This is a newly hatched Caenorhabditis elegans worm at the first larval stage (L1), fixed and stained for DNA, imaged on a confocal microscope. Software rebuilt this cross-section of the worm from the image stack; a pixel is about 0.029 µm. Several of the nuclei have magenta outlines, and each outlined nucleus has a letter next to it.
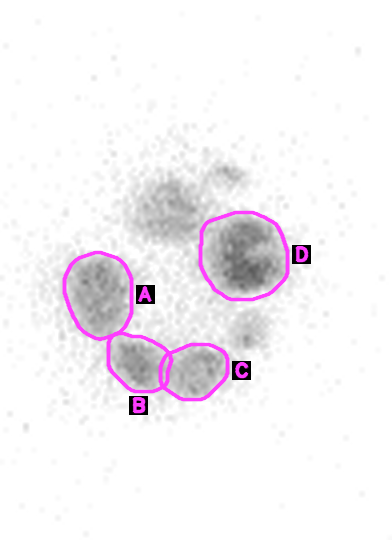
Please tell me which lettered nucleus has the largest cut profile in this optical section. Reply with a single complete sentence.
Nucleus D covers the most area here.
